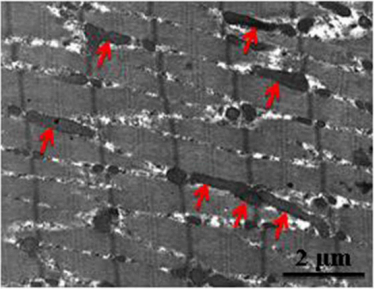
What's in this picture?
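This is a longitudinal electron micrograph of skeletal muscle fibers, showing parallel myofibrils with regular sarcomeres bounded by dark Z-lines. Between the myofibrils lie dark, electron-dense mitochondria, many of them long and tubular, stretching along the fiber axis and spanning across Z-lines.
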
